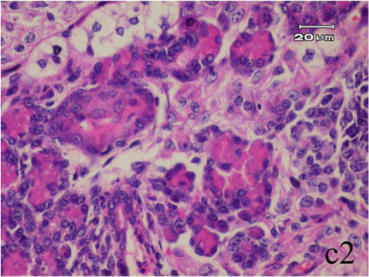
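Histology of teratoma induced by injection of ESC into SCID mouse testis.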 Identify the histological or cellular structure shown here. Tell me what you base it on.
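Acinar structure. Small clusters of cells with pink granular cytoplasm grouped around tiny central spaces. Round nuclei sit toward the outer edge of each cluster.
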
